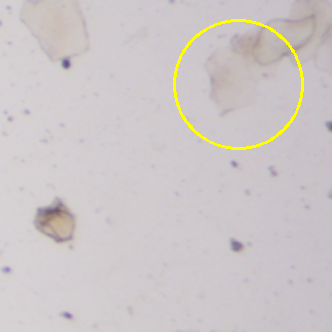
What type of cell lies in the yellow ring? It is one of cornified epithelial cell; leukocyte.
The ringed cell is a cornified epithelial cell.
